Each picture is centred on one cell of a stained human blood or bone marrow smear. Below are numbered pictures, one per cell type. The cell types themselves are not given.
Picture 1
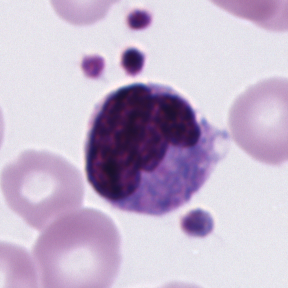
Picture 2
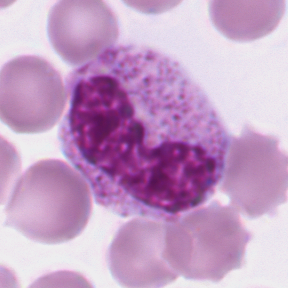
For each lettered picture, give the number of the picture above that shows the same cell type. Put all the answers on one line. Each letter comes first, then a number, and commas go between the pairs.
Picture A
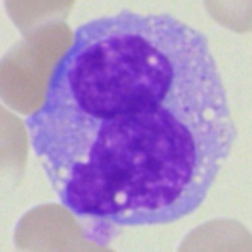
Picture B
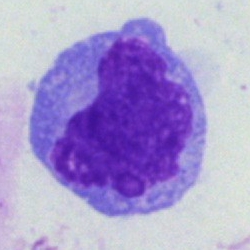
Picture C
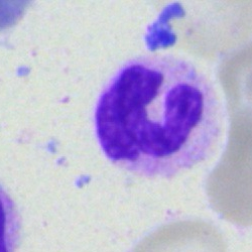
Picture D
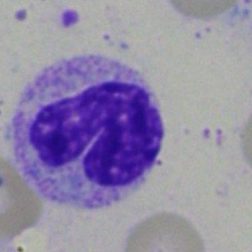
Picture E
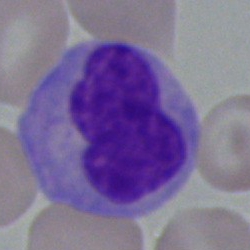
A 1, B 1, C 2, D 2, E 1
